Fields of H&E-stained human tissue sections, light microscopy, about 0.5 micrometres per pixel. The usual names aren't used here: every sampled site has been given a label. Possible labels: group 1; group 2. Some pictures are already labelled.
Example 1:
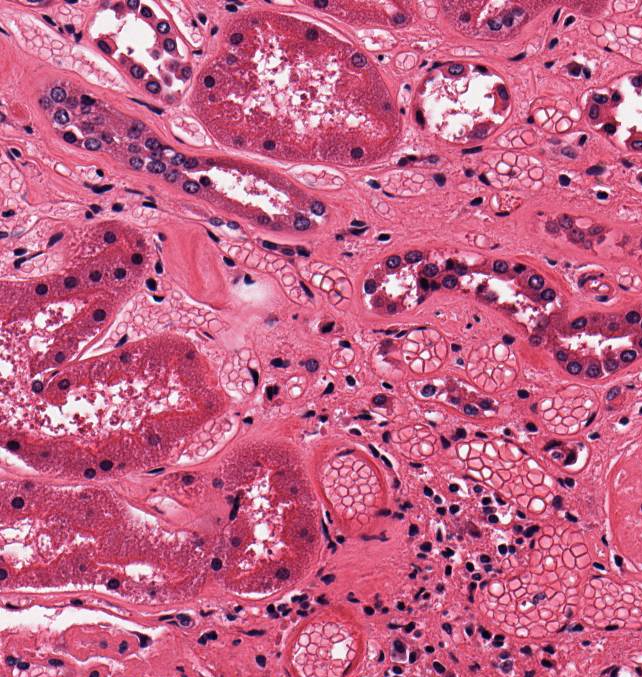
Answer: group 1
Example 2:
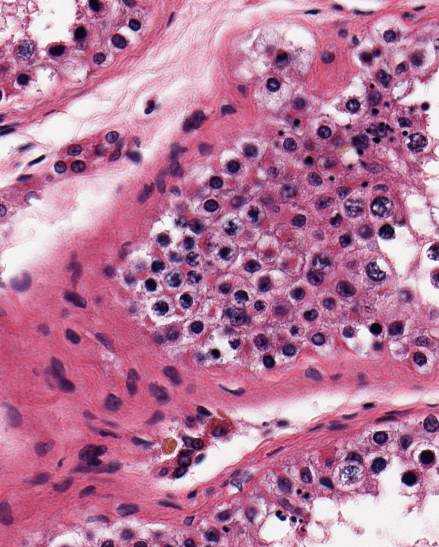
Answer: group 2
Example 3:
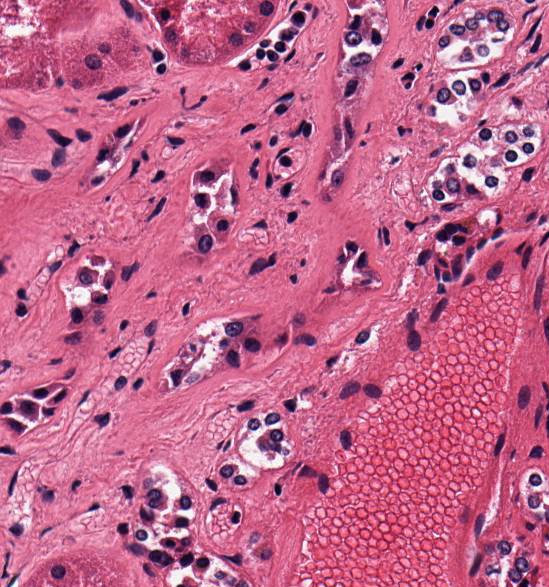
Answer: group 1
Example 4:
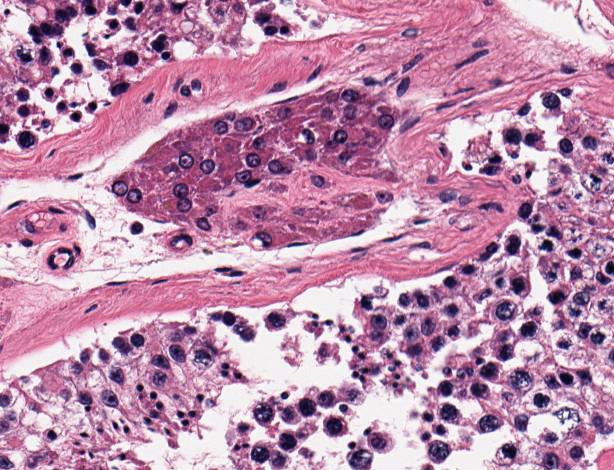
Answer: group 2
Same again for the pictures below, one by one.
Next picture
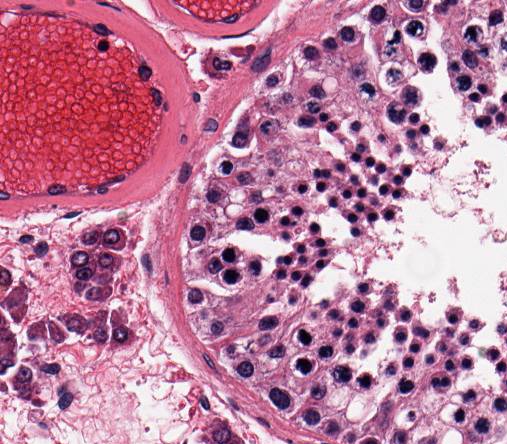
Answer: group 2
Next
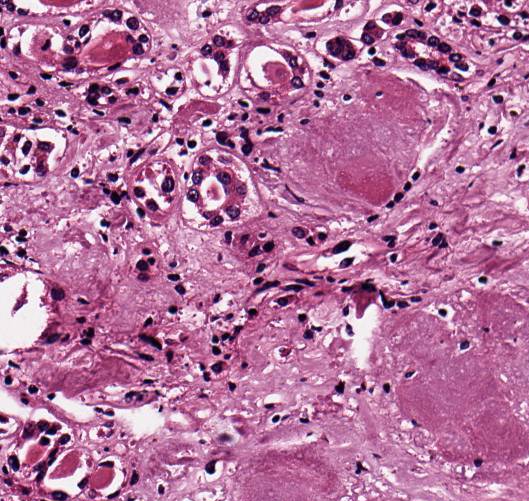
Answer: group 1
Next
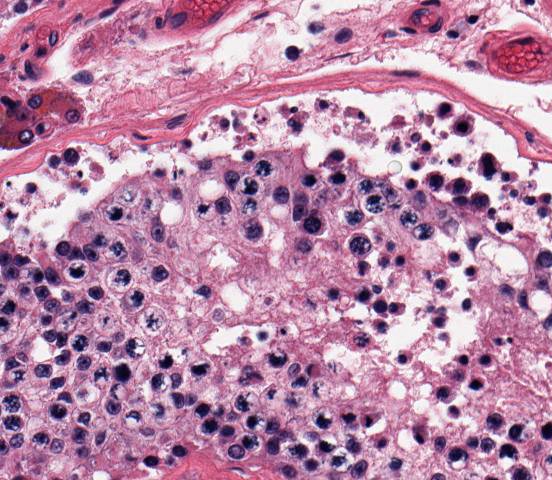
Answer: group 2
